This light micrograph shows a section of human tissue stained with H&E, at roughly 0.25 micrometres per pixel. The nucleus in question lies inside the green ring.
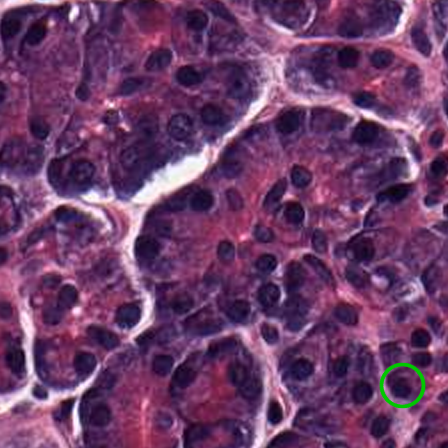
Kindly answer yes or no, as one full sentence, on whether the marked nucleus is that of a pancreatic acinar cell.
Yes, the marked nucleus represents the nucleus of a pancreatic acinar cell.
